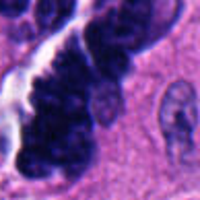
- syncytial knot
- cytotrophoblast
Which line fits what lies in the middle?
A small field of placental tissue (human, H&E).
syncytial knot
